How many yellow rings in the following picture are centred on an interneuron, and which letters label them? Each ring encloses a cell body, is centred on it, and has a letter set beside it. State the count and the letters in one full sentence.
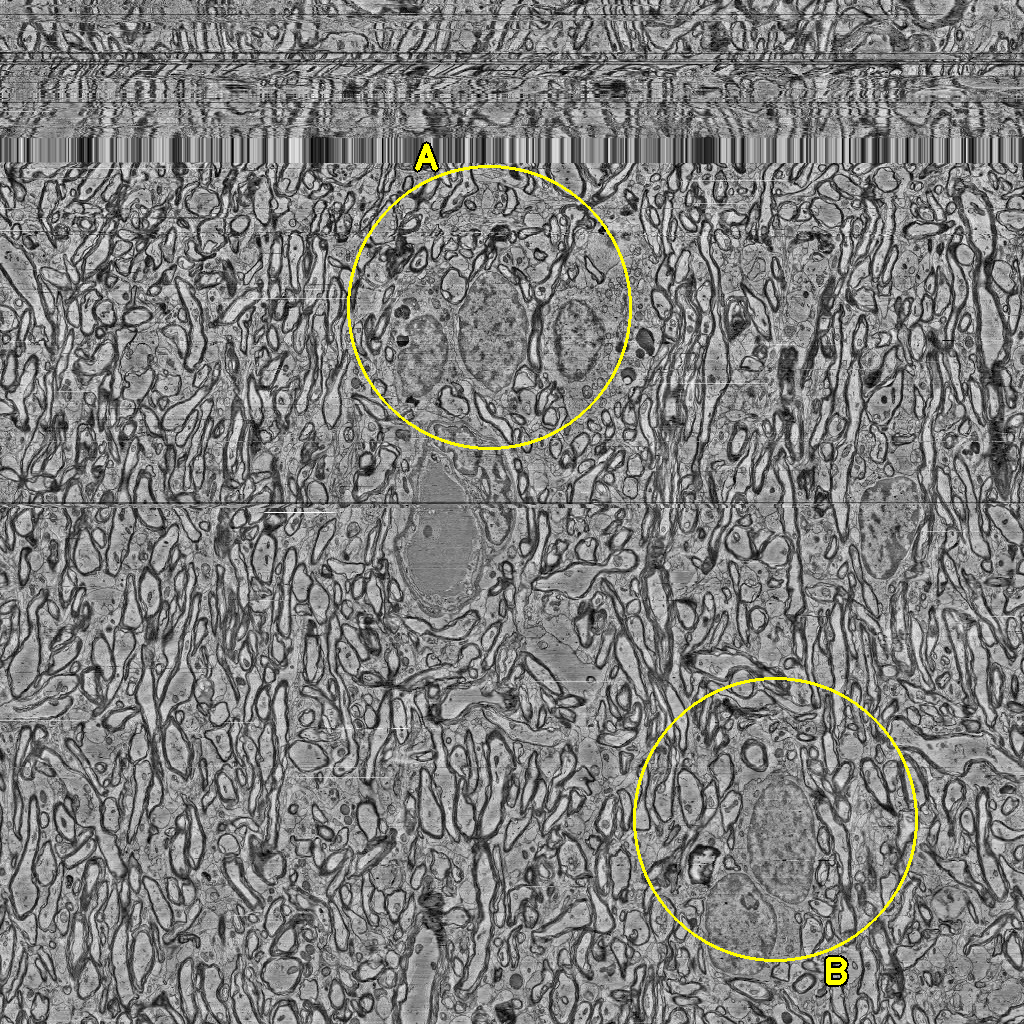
None of these yellow rings is centred on an interneuron, which leaves a count of zero.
